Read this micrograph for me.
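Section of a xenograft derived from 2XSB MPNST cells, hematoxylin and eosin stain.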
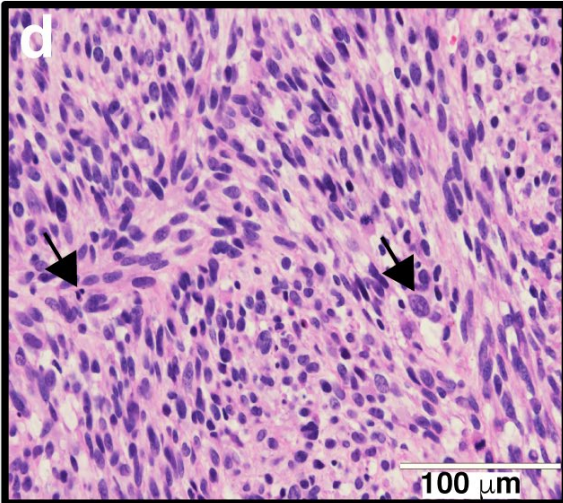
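This section shows a densely cellular spindle cell tumour made of tightly packed elongated cells. The nuclei are oval to cigar-shaped, stain dark purple, and vary in size, with some plump and rounded. The cells run in interweaving bundles and fascicles that sweep in different directions across the field. Between the nuclei lies pale pink cytoplasm and scant pink stroma, with small clear spaces here and there. Some nuclei are dark and condensed, consistent with cells in division.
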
